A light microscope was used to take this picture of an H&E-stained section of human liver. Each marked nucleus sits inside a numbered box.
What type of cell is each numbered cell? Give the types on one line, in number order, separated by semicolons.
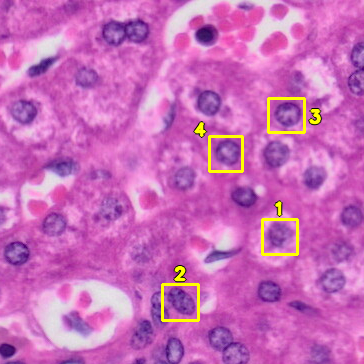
hepatocyte; cholangiocyte; hepatocyte; hepatocyte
